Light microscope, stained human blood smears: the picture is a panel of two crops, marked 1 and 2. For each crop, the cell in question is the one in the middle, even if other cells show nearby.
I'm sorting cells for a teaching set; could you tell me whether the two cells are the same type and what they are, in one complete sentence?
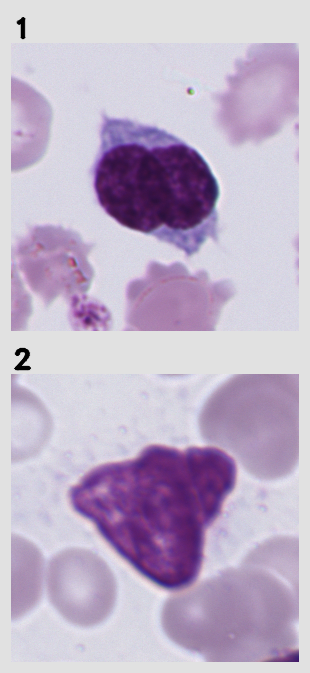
No, a hairy cell is the cell in crop 1; a smudge cell is the cell in crop 2.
